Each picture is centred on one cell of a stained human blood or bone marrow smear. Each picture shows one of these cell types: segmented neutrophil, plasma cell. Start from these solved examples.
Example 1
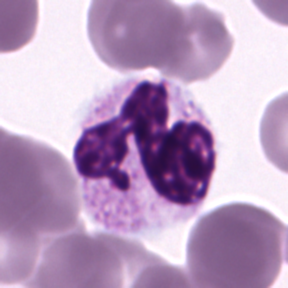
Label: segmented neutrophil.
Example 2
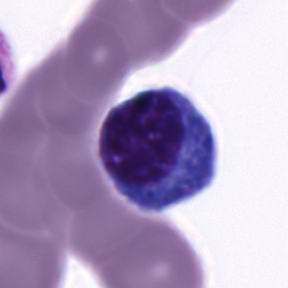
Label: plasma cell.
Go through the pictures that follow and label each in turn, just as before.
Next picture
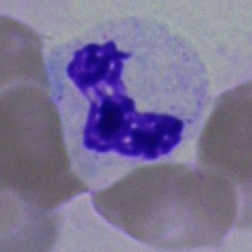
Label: segmented neutrophil.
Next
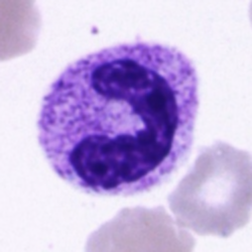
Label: segmented neutrophil.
